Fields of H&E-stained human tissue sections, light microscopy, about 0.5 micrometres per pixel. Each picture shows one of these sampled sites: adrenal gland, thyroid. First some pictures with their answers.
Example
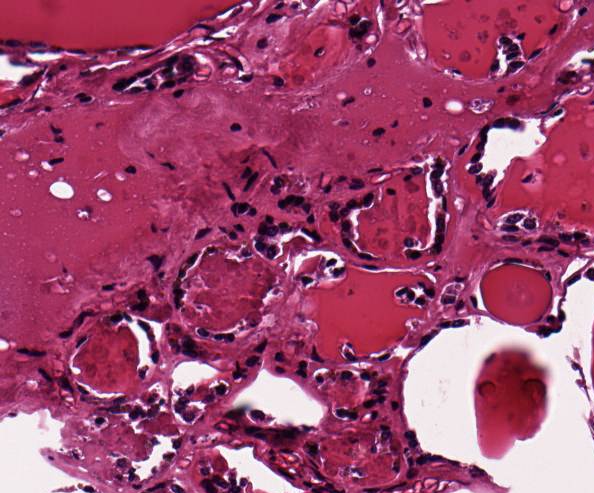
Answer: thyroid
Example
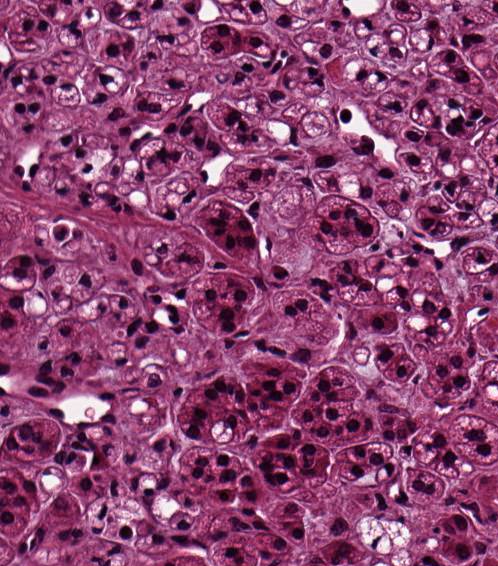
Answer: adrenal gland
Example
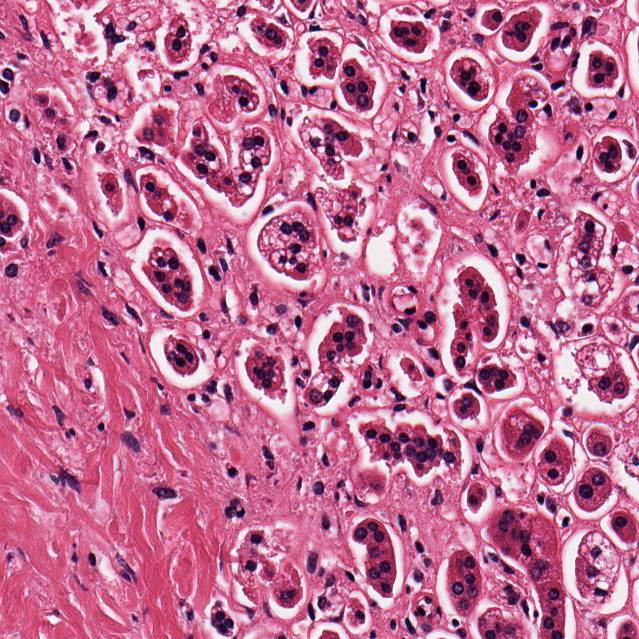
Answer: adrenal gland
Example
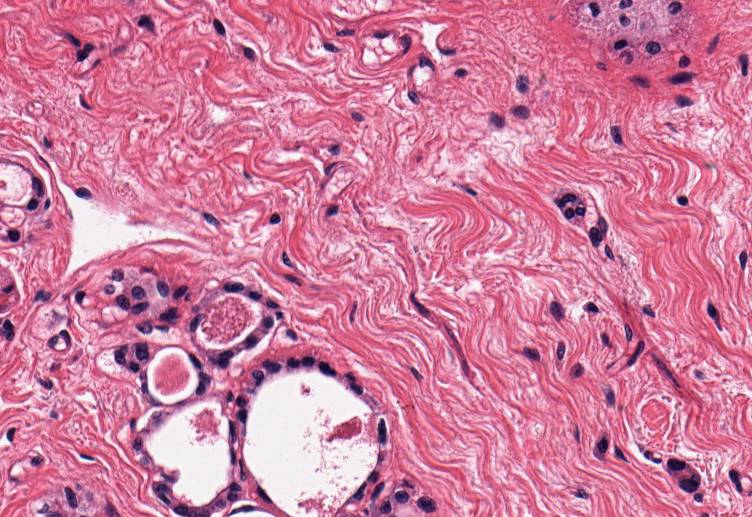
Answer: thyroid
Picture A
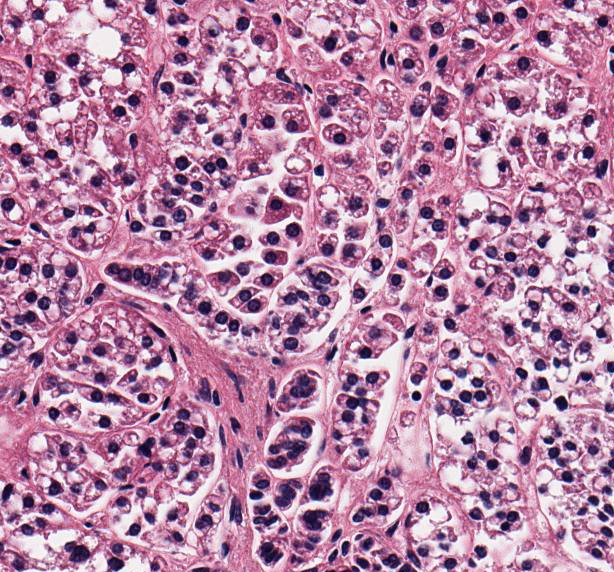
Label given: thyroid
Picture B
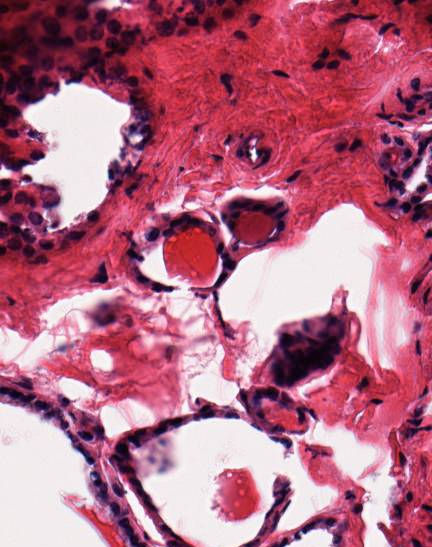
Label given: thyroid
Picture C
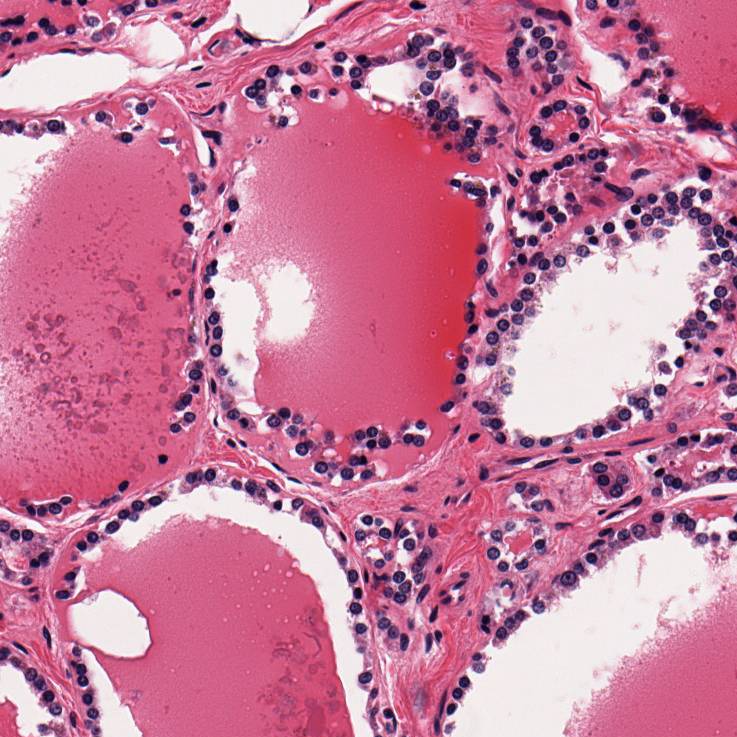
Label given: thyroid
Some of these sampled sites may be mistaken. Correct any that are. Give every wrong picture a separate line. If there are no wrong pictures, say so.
A: adrenal gland, not thyroid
